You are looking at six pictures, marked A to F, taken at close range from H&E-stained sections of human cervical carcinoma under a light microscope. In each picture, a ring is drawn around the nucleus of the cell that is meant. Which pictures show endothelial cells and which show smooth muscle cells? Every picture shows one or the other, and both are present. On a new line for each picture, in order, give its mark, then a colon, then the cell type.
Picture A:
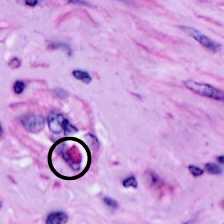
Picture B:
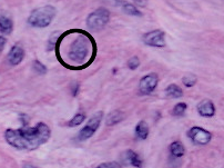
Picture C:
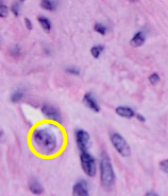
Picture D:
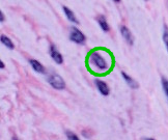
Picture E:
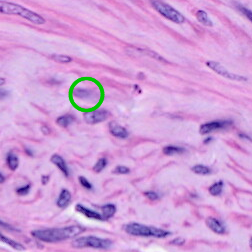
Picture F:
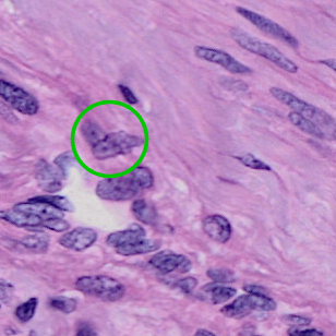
A: endothelial cell
B: smooth muscle cell
C: endothelial cell
D: smooth muscle cell
E: smooth muscle cell
F: endothelial cell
